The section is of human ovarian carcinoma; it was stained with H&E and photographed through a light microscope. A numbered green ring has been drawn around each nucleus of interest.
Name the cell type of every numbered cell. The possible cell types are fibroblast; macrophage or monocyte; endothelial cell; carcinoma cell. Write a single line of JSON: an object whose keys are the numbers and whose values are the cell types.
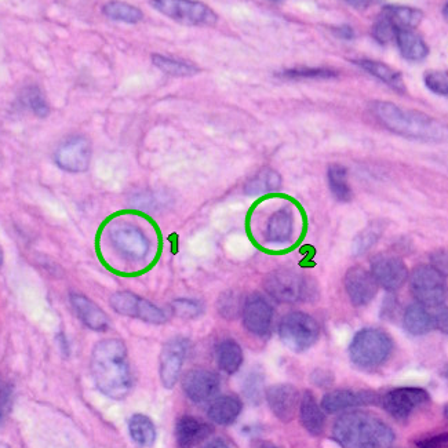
{"1": "fibroblast", "2": "macrophage or monocyte"}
